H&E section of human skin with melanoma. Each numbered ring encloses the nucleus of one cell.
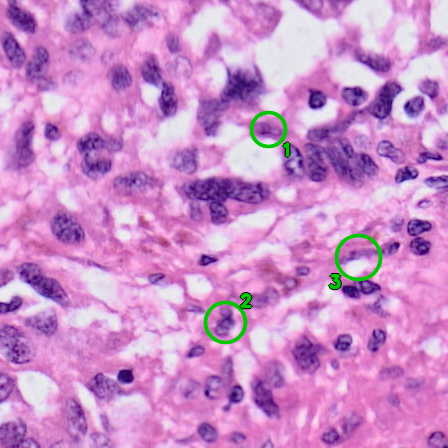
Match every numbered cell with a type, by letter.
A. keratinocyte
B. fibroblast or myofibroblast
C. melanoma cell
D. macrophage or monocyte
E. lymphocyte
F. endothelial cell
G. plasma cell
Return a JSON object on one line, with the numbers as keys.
{"1": "C", "2": "D", "3": "B"}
